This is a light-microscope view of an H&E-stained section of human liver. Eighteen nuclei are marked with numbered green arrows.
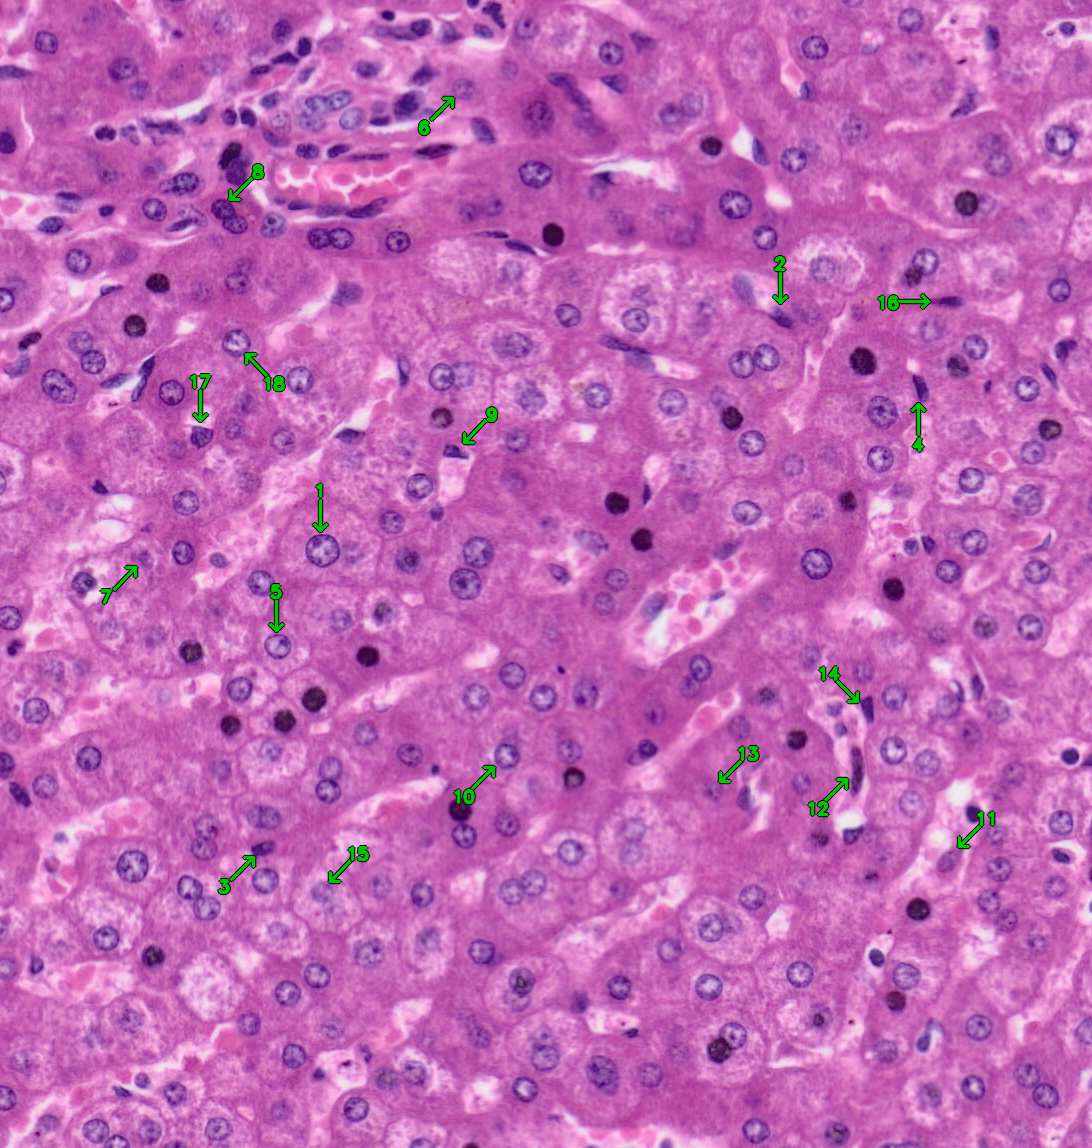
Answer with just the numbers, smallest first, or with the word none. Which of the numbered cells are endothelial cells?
9, 17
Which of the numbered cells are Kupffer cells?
11, 12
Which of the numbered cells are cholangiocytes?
8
